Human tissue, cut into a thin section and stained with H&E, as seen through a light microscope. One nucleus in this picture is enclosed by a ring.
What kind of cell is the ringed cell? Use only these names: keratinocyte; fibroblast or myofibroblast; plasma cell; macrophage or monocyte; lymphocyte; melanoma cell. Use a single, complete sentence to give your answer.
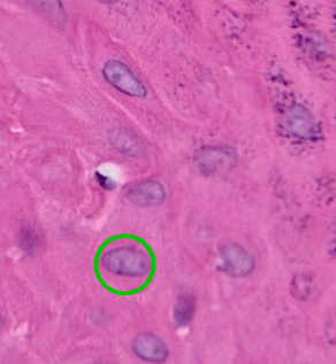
Placed in its cell category, the ringed cell is a keratinocyte.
